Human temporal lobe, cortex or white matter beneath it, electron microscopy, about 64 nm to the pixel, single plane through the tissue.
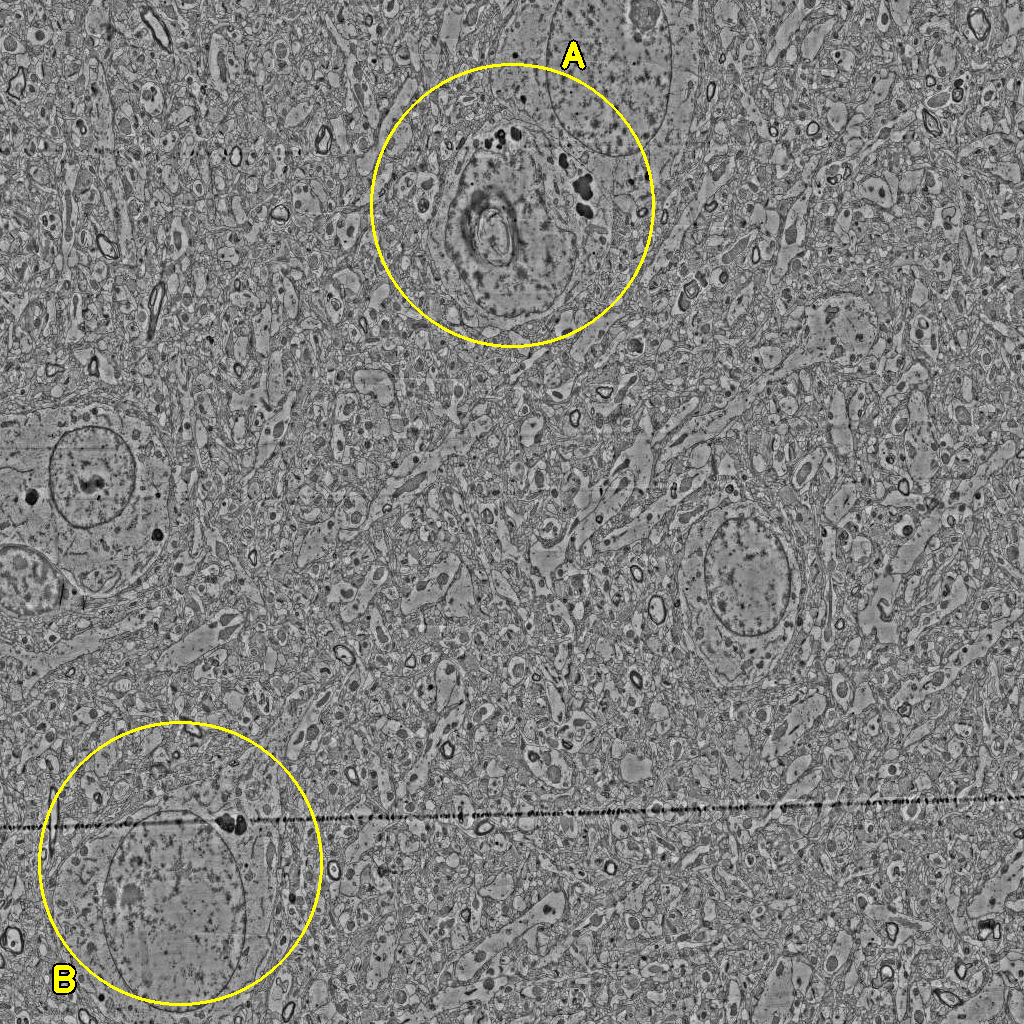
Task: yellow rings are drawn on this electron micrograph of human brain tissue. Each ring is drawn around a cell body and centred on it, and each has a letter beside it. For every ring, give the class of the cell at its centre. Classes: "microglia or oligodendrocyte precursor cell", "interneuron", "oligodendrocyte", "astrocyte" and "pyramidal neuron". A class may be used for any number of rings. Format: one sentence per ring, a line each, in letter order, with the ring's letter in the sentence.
The cell ringed as A is an interneuron.
The cell ringed as B is a pyramidal neuron.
